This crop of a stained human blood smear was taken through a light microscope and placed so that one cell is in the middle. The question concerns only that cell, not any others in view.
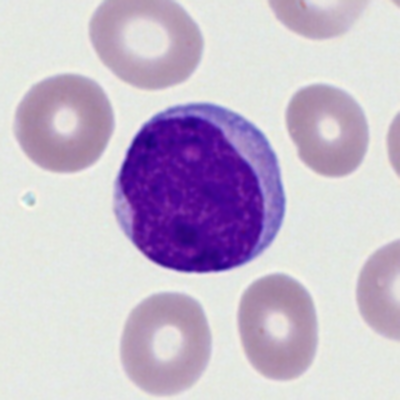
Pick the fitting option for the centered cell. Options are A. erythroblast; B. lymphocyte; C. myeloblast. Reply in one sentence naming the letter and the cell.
The cell at the centre, correctly named in option C, is a myeloblast.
